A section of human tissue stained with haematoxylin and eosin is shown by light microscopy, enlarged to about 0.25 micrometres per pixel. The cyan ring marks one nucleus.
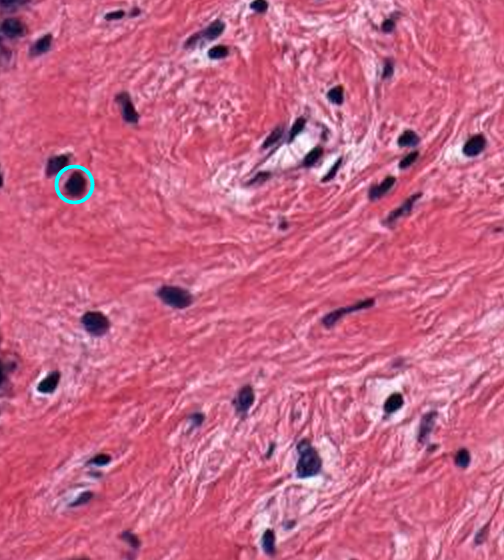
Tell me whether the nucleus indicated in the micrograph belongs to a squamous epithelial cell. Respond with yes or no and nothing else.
no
